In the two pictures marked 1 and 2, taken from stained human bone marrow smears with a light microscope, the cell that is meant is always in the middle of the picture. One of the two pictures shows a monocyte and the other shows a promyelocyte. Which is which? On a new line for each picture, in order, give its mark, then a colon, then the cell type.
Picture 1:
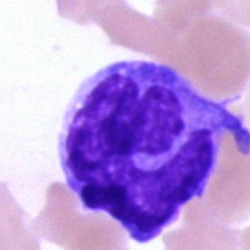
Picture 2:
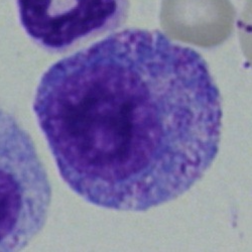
1: monocyte
2: promyelocyte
